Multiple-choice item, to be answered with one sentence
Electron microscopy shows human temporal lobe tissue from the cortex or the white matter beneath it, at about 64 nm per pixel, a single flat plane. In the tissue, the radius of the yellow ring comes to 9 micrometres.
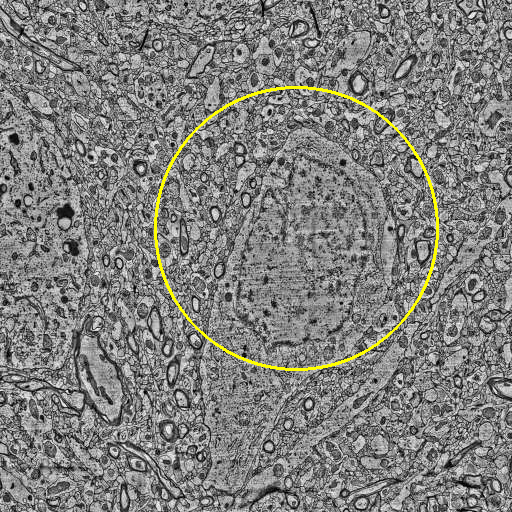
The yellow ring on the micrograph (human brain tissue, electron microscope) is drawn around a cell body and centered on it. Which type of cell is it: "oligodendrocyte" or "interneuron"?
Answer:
The ring is centered on an interneuron.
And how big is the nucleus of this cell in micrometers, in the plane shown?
Approximately 12 by 8 micrometers, which makes the nucleus clearly longer than it is wide in this plane.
